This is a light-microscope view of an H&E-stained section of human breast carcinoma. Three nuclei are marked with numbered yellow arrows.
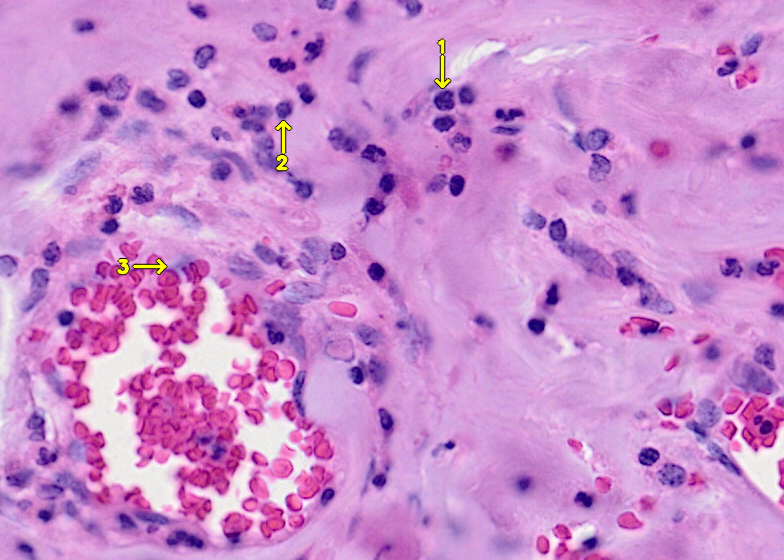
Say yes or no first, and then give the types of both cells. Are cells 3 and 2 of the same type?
No, in contrast to cell 3, which is an endothelial cell, cell 2 is a lymphocyte.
